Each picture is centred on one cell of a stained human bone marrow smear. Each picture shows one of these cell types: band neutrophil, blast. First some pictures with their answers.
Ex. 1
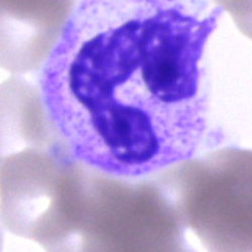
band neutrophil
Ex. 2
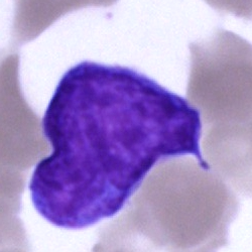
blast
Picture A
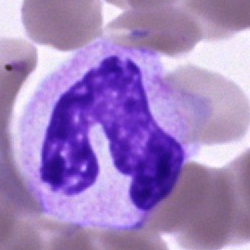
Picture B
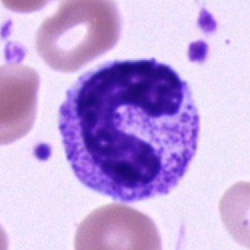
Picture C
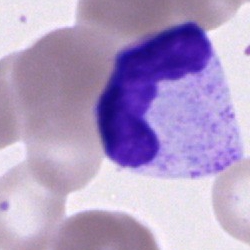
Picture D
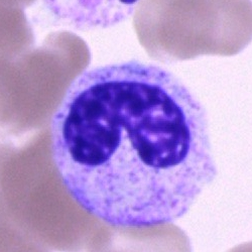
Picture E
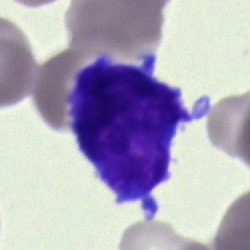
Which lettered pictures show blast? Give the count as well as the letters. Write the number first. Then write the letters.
1, namely E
